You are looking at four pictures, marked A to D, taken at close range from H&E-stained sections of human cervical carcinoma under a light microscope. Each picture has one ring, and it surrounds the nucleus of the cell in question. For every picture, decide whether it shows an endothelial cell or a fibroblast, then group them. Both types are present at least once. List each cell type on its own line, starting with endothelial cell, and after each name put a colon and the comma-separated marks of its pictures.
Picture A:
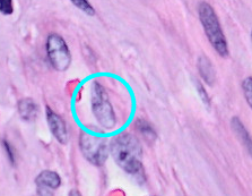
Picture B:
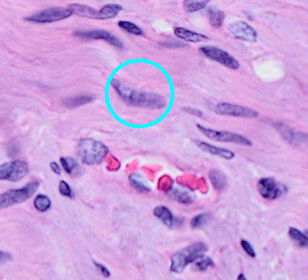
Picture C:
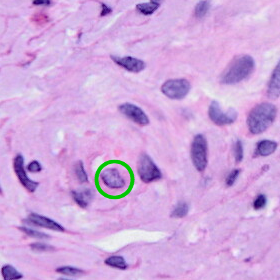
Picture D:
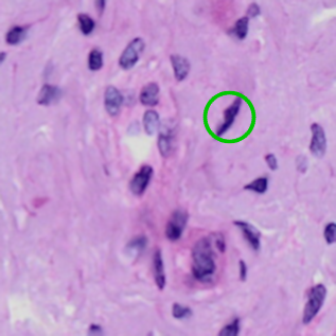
endothelial cell: A, C
fibroblast: B, D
